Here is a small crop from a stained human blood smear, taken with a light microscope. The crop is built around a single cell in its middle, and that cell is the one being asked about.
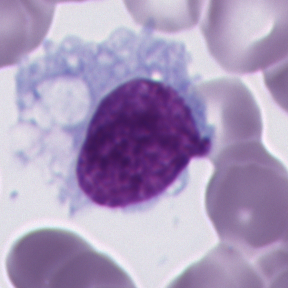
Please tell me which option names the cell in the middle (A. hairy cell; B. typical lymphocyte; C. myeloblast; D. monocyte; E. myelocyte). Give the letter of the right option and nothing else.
A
